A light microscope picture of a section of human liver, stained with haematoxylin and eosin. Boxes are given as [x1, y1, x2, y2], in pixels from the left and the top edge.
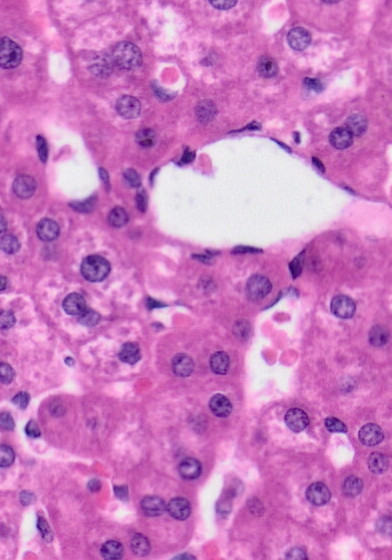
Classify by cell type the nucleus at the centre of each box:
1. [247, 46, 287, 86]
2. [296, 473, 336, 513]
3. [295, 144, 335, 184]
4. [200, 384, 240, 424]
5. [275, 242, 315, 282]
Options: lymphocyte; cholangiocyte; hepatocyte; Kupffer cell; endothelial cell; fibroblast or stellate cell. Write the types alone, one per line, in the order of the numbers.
hepatocyte
hepatocyte
fibroblast or stellate cell
hepatocyte
fibroblast or stellate cell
